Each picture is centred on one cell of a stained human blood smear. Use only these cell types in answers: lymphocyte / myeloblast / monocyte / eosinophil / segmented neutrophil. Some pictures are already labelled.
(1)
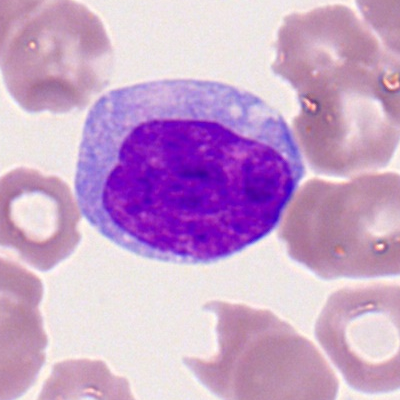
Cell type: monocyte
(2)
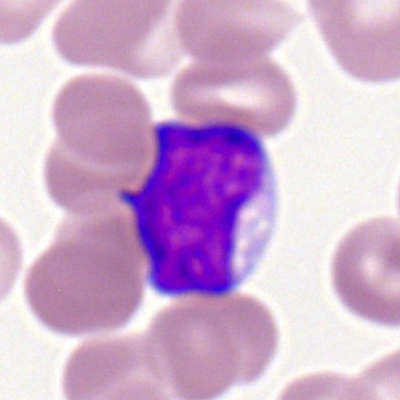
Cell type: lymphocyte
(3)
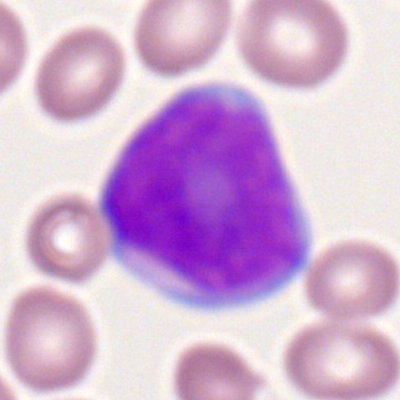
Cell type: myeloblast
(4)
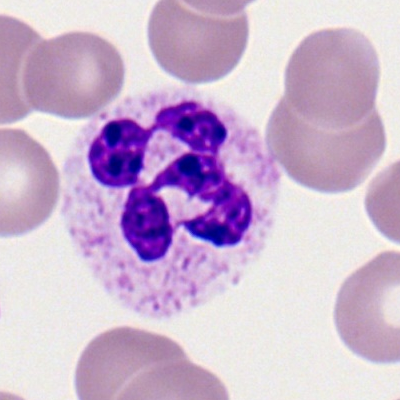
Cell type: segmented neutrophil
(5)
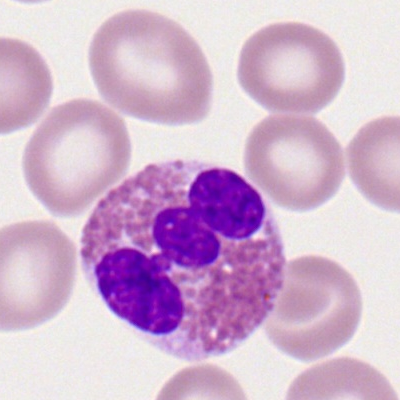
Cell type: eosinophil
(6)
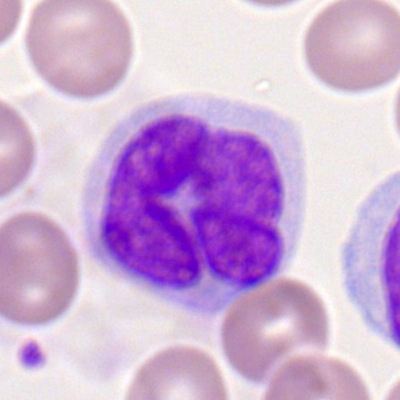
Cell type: monocyte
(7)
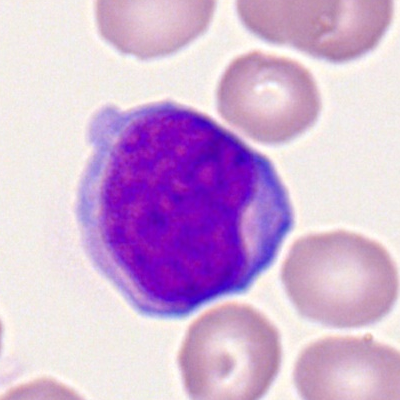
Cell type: myeloblast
